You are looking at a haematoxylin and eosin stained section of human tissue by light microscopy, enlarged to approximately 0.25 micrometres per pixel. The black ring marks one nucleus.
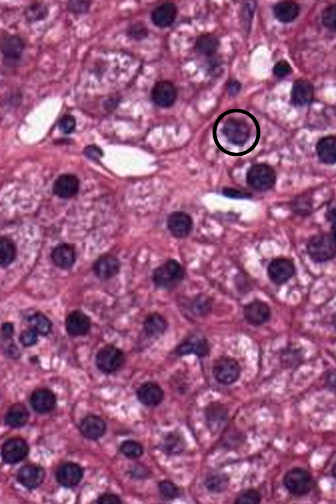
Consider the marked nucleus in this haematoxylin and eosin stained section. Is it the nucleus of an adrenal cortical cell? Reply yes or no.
yes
